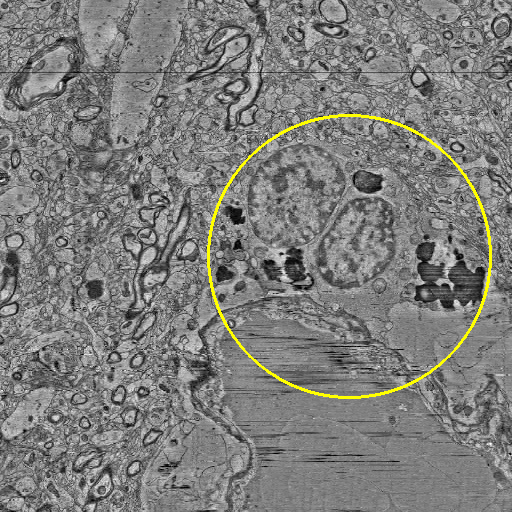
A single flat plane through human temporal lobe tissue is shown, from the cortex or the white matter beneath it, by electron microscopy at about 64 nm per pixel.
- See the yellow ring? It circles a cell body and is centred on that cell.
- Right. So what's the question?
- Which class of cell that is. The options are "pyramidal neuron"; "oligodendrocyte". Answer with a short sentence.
The centre of the ring holds an oligodendrocyte.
